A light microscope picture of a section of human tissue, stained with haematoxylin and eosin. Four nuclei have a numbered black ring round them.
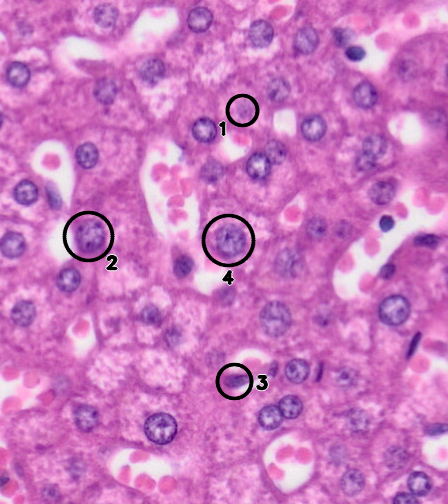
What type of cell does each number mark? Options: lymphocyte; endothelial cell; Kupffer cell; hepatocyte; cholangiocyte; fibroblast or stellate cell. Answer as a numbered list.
1. hepatocyte
2. hepatocyte
3. Kupffer cell
4. hepatocyte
